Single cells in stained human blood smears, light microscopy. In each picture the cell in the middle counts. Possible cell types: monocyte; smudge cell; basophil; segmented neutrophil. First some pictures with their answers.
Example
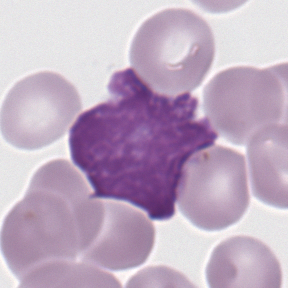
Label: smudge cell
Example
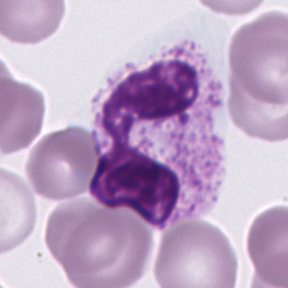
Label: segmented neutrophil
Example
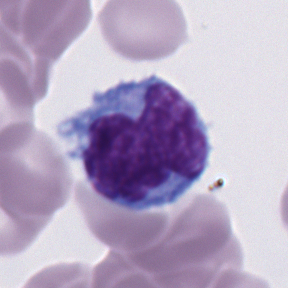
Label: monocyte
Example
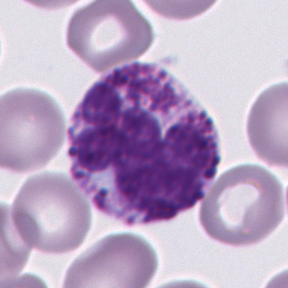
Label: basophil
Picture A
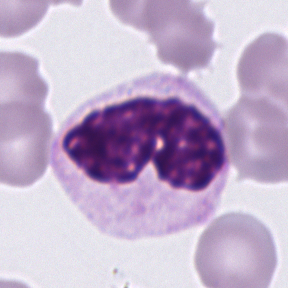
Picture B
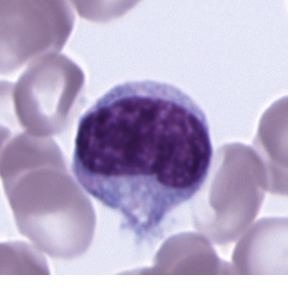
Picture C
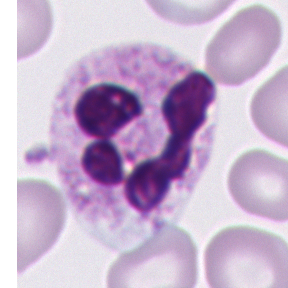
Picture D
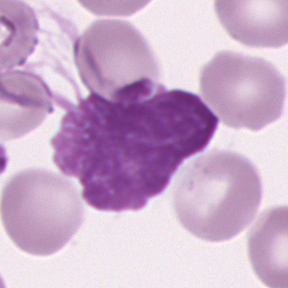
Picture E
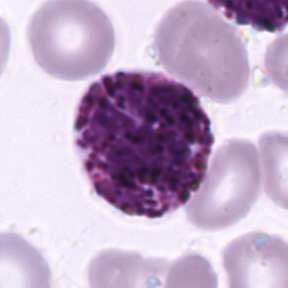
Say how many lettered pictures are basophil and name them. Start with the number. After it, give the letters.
1, namely E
